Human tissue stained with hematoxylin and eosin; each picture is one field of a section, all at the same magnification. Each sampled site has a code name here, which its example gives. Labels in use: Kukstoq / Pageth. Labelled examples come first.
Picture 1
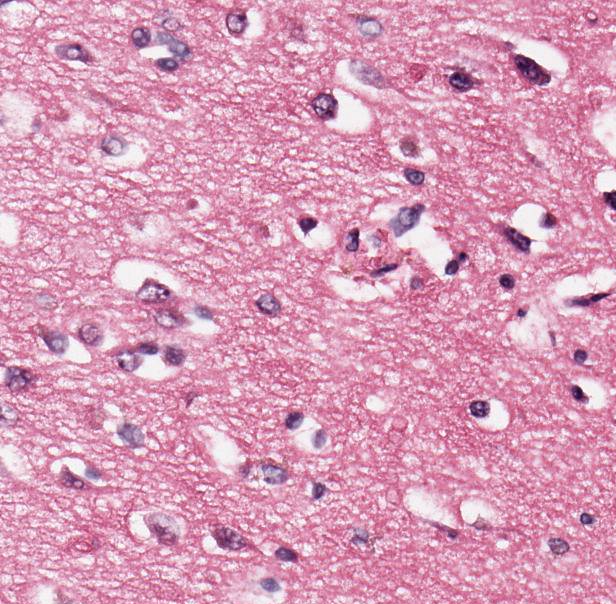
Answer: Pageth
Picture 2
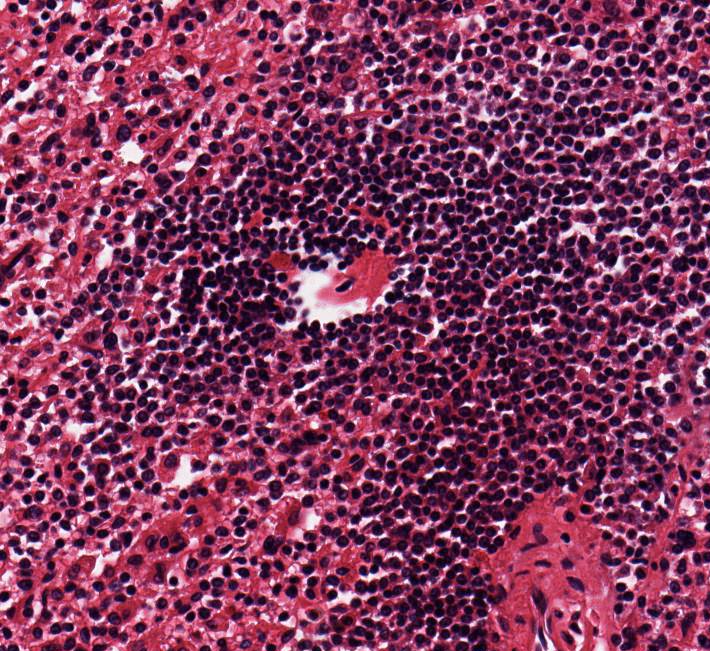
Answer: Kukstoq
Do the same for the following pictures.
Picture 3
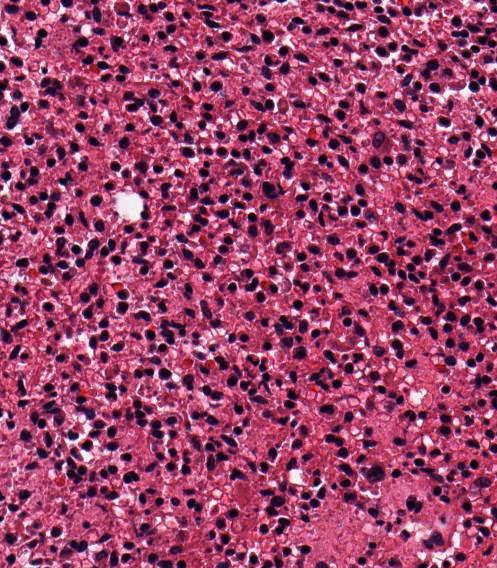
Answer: Kukstoq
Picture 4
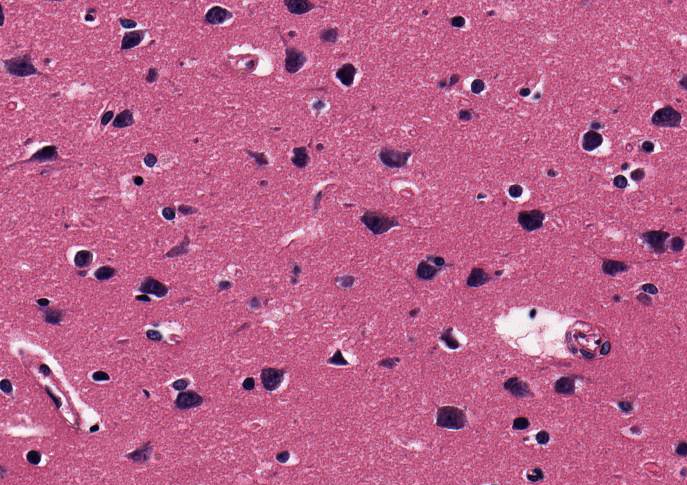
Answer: Pageth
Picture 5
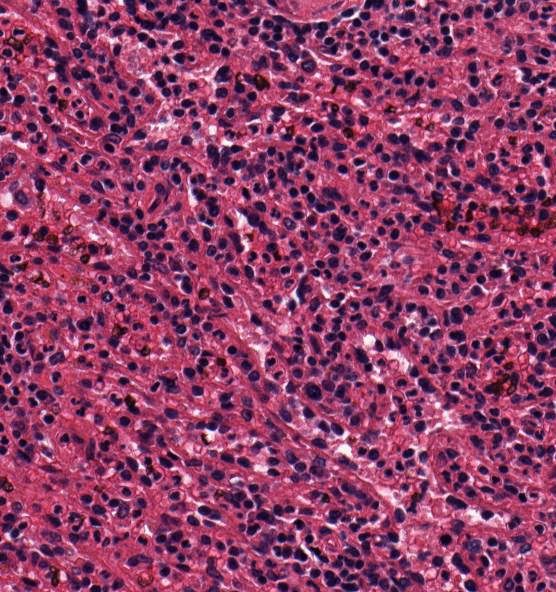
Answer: Kukstoq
